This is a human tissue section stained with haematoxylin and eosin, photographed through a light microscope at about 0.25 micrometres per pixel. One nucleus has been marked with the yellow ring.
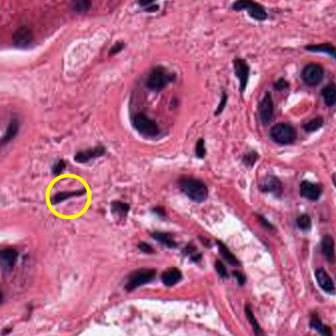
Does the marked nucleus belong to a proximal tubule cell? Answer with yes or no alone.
no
